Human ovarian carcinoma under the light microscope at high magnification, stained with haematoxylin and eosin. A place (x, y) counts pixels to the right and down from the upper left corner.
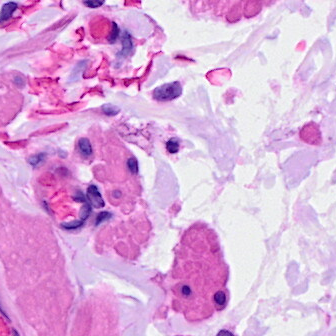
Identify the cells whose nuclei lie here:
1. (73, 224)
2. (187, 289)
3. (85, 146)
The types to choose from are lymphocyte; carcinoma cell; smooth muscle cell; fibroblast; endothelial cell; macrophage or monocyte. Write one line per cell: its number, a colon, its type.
1: endothelial cell
2: smooth muscle cell
3: smooth muscle cell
